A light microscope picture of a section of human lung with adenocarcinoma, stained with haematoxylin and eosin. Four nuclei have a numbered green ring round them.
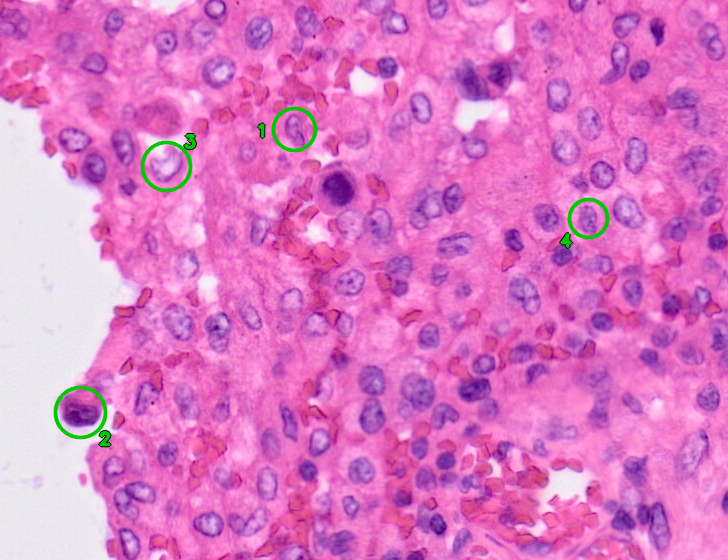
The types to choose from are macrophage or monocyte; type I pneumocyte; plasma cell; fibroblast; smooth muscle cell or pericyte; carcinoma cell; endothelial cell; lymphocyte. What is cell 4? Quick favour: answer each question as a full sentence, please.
Cell 4 should be recorded as a macrophage or monocyte.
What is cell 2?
The nucleus with number 2 is that of a carcinoma cell.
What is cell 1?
To a macrophage or monocyte belongs the nucleus marked 1.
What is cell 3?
Cell 3 in the field of view is a macrophage or monocyte.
